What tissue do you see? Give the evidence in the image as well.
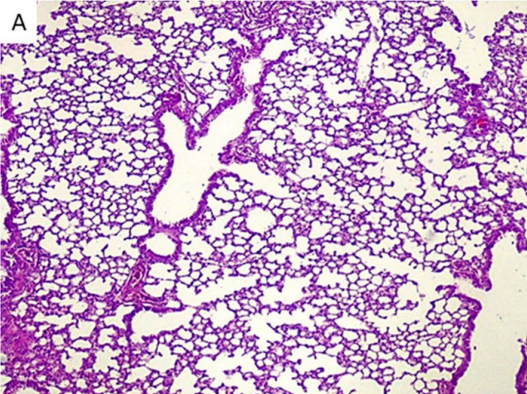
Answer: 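Lung parenchyma. Thin-walled air spaces form a fine lace-like network across the field. An airway with a branching lumen runs through the tissue. No dense solid nodules interrupt the air spaces.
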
